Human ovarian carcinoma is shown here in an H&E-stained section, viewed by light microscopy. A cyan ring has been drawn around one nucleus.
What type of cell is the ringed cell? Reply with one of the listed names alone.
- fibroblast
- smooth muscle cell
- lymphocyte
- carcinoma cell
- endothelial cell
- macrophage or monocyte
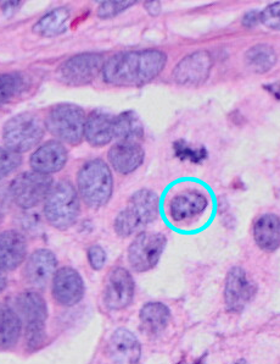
macrophage or monocyte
